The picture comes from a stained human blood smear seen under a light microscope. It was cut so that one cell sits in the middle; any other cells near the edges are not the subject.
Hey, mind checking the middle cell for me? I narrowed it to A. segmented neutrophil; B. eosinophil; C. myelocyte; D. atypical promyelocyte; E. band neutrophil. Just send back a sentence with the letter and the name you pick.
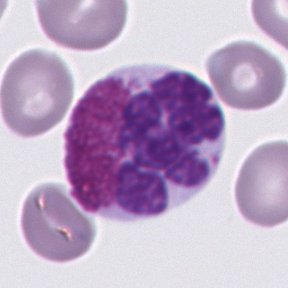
At the centre of the crop lies an eosinophil, which makes option B correct.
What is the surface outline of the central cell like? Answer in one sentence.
You can see a smooth boundary, with no projections sticking out.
